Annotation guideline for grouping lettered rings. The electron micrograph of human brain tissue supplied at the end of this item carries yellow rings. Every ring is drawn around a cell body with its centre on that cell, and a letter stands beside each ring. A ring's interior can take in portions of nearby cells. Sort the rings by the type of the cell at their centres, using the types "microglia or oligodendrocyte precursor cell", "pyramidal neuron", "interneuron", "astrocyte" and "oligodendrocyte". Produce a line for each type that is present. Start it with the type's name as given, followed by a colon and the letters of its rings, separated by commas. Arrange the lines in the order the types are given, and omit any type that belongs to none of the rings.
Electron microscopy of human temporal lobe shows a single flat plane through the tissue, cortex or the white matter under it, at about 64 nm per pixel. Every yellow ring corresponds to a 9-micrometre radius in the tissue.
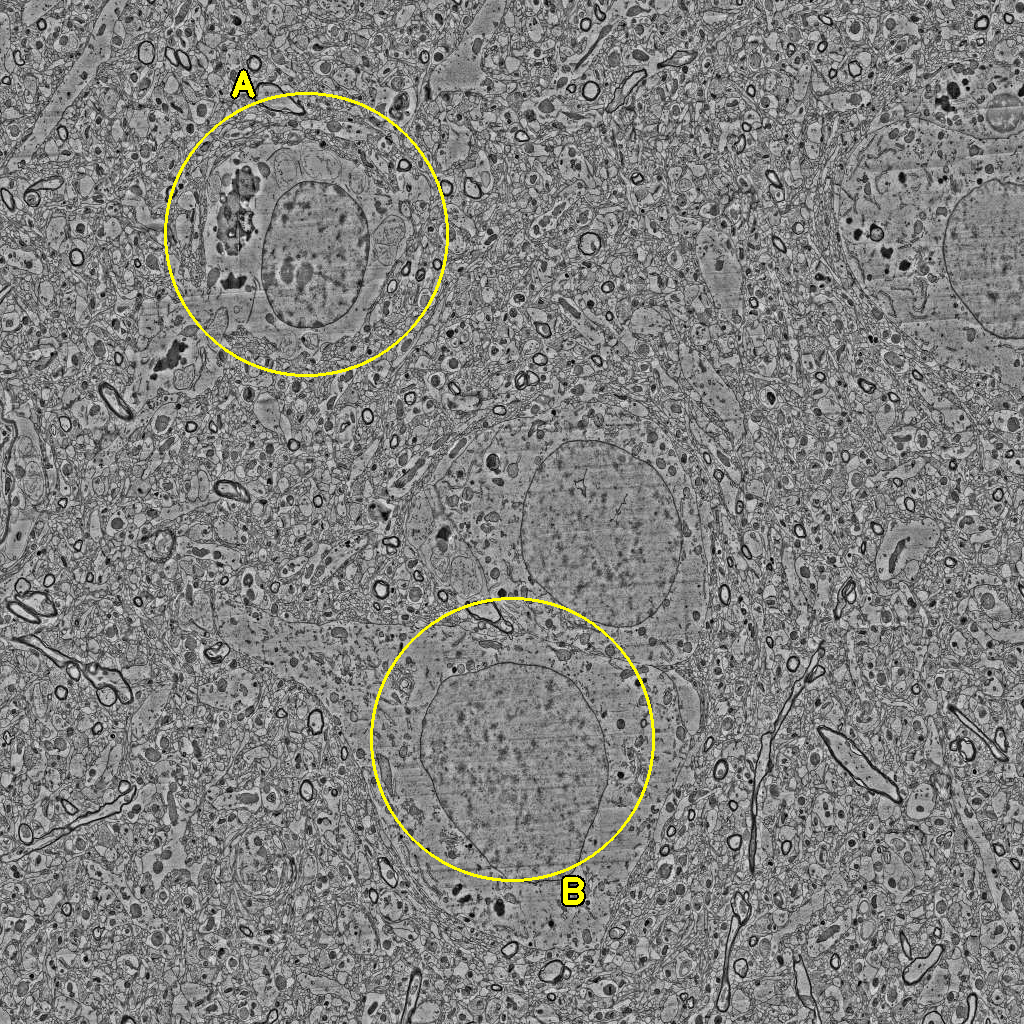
pyramidal neuron: B
astrocyte: A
